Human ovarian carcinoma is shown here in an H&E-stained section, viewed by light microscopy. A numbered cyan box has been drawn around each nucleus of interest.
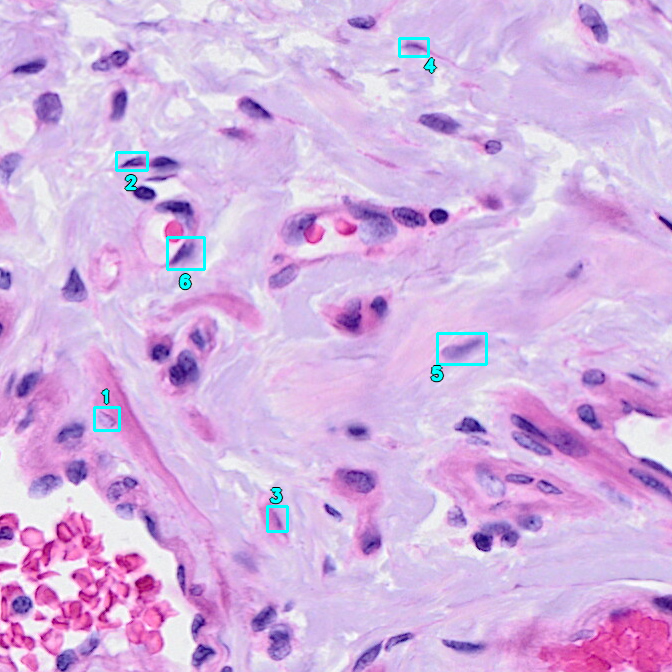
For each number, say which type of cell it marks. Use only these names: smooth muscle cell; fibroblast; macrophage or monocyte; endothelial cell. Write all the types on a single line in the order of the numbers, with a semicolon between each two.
smooth muscle cell; fibroblast; smooth muscle cell; fibroblast; fibroblast; endothelial cell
